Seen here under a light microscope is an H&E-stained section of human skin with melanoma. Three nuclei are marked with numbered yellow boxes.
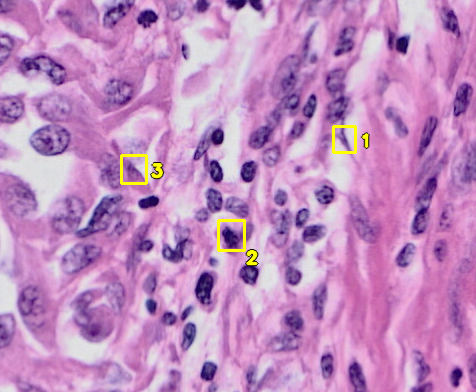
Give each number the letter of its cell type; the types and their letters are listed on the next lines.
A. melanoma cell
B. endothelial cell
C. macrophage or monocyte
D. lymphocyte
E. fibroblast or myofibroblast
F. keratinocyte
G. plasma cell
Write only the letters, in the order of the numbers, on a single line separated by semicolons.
E; G; A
